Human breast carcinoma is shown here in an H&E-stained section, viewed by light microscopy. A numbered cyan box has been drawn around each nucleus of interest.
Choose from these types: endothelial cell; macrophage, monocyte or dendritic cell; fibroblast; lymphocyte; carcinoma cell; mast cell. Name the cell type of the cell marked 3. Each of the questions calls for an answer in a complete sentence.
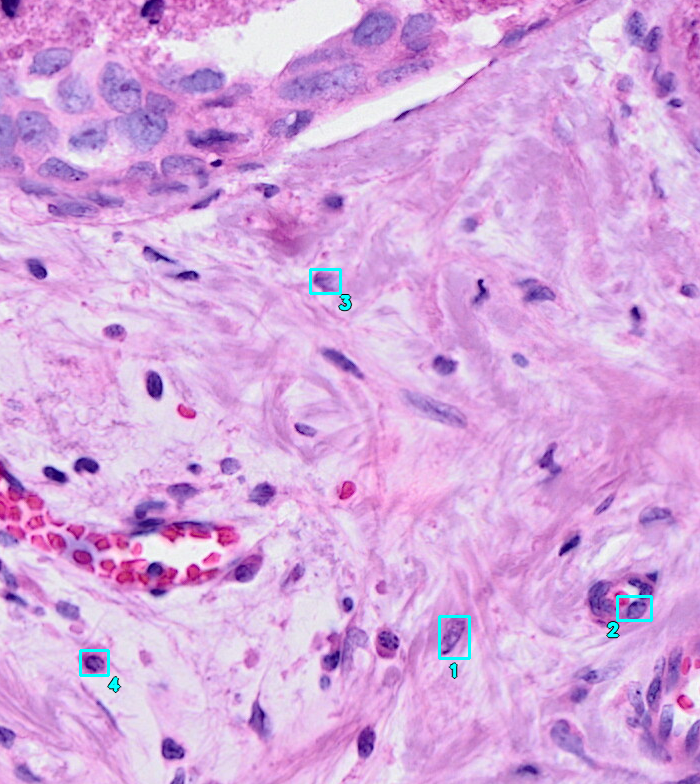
Identified as a fibroblast is the cell bearing the number 3.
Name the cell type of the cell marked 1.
Here the cell numbered 1 is a fibroblast.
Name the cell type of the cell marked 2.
To an endothelial cell belongs the nucleus marked 2.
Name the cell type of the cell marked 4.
The cell marked with the number 4 is a mast cell.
